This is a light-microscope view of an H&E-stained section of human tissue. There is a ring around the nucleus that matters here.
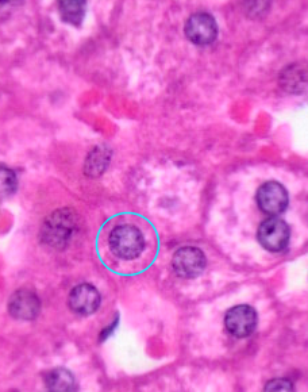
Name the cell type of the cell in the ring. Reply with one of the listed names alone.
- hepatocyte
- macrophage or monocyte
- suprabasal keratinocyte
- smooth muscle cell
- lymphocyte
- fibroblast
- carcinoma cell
hepatocyte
